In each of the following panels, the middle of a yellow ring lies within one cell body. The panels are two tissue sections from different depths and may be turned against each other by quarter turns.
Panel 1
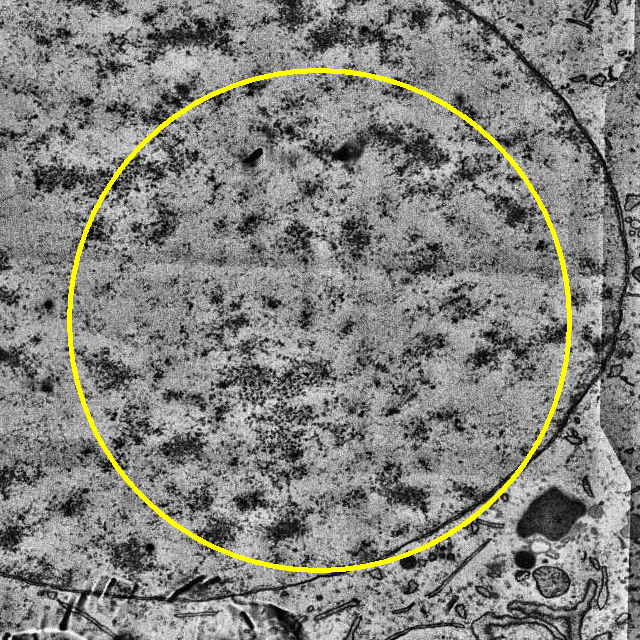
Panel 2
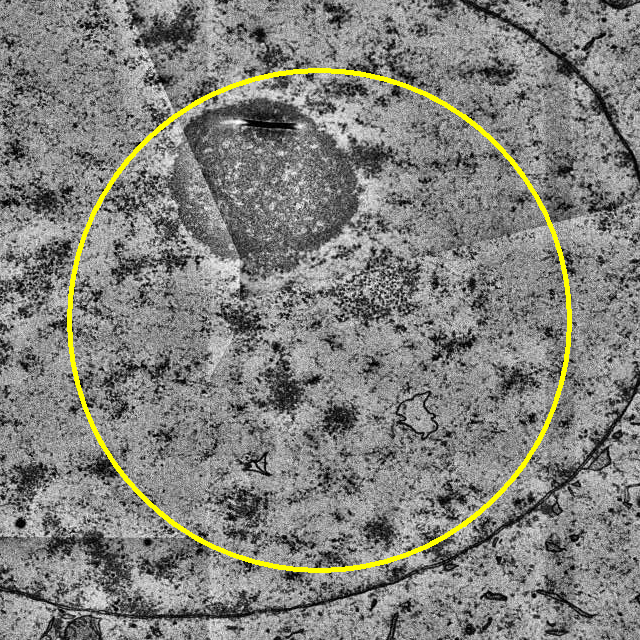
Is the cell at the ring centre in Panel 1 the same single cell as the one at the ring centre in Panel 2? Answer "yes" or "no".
yes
